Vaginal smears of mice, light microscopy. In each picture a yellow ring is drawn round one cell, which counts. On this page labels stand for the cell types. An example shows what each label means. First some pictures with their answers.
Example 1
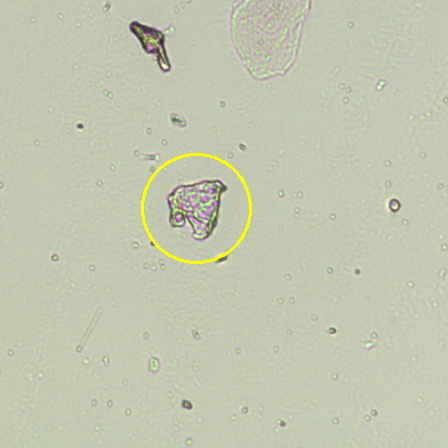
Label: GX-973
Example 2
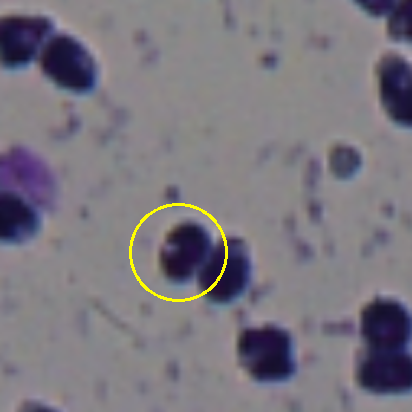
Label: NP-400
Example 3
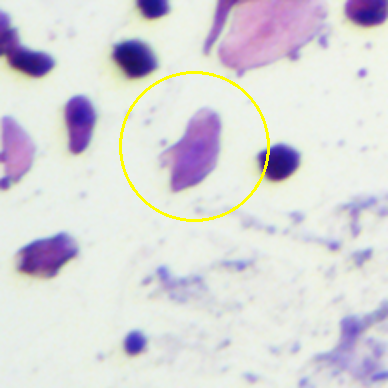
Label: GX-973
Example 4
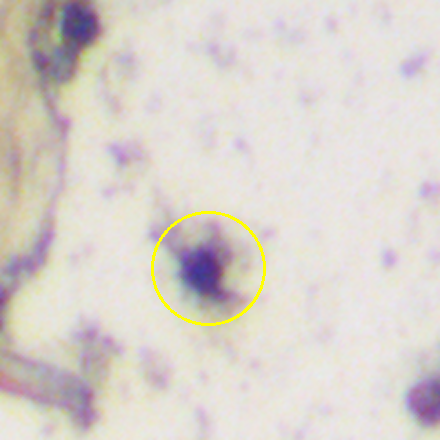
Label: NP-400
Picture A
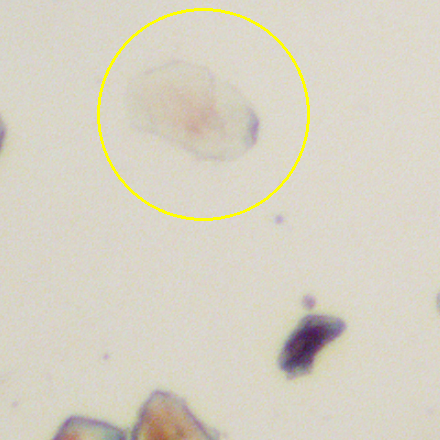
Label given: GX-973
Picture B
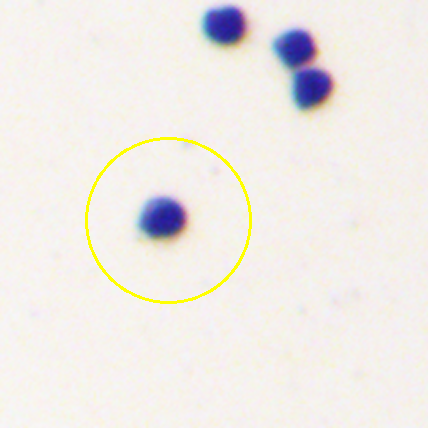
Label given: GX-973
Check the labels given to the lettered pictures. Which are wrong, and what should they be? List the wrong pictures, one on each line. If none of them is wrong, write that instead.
B: change GX-973 to NP-400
